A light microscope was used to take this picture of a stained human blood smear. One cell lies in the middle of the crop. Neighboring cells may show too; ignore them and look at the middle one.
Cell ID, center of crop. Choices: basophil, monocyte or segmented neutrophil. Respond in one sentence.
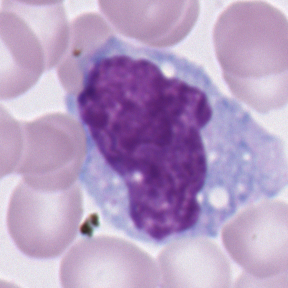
The cell the crop is centered on is a monocyte.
